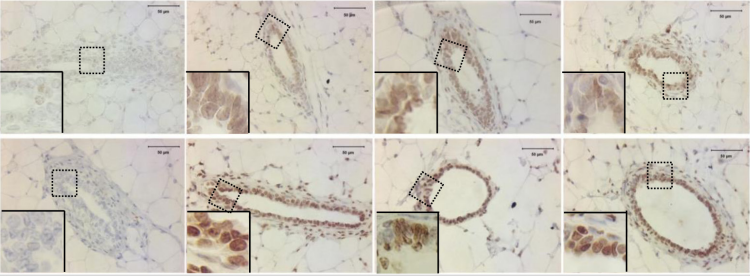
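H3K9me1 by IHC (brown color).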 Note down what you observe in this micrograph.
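Sections of mammary gland show small ducts, each lined by a layer of epithelial cells with rounded nuclei and surrounded by a thin rim of spindle-shaped stromal cells. The ducts lie embedded in a fat pad of large, empty-looking adipocytes with thin walls. In several of the images the epithelial nuclei are stained brown, while in others they stay pale blue from the counterstain.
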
